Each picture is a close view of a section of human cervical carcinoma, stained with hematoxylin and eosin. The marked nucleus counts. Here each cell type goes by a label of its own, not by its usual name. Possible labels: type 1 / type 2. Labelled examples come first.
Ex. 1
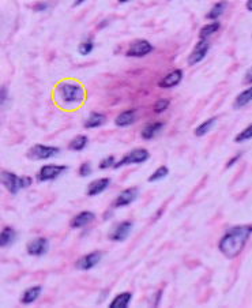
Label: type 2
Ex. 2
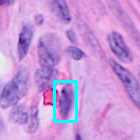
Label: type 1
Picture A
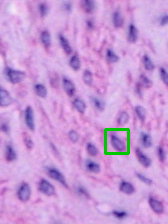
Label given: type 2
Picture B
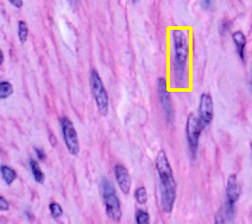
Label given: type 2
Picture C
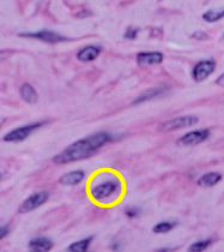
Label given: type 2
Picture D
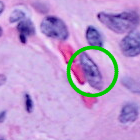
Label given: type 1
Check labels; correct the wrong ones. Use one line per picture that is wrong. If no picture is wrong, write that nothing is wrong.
None of the labels needs changing.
